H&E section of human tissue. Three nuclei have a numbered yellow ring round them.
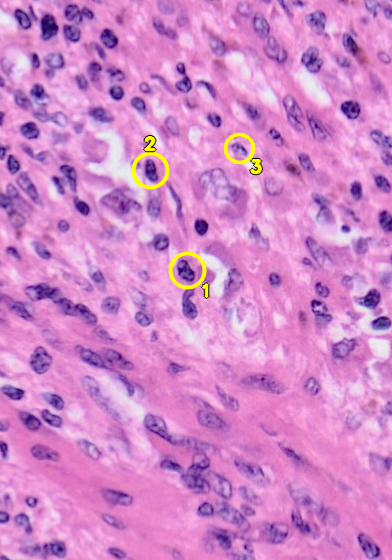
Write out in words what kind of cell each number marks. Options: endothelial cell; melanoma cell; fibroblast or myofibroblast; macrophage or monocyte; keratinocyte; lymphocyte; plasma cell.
Cell 1 is a plasma cell. Cells 2 and 3 are lymphocytes.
